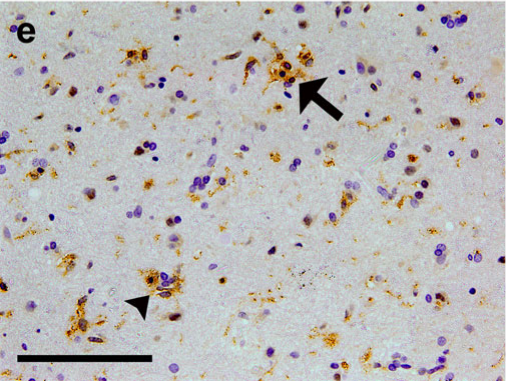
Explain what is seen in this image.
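Brown-stained activated microglia and macrophages are scattered through the white matter, with irregular bodies and short thick processes. Some of them gather into small nodules of several cells, among many unstained blue nuclei.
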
